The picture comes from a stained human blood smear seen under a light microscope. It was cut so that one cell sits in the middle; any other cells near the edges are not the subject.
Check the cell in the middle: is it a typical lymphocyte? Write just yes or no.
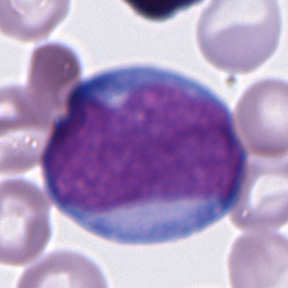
no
